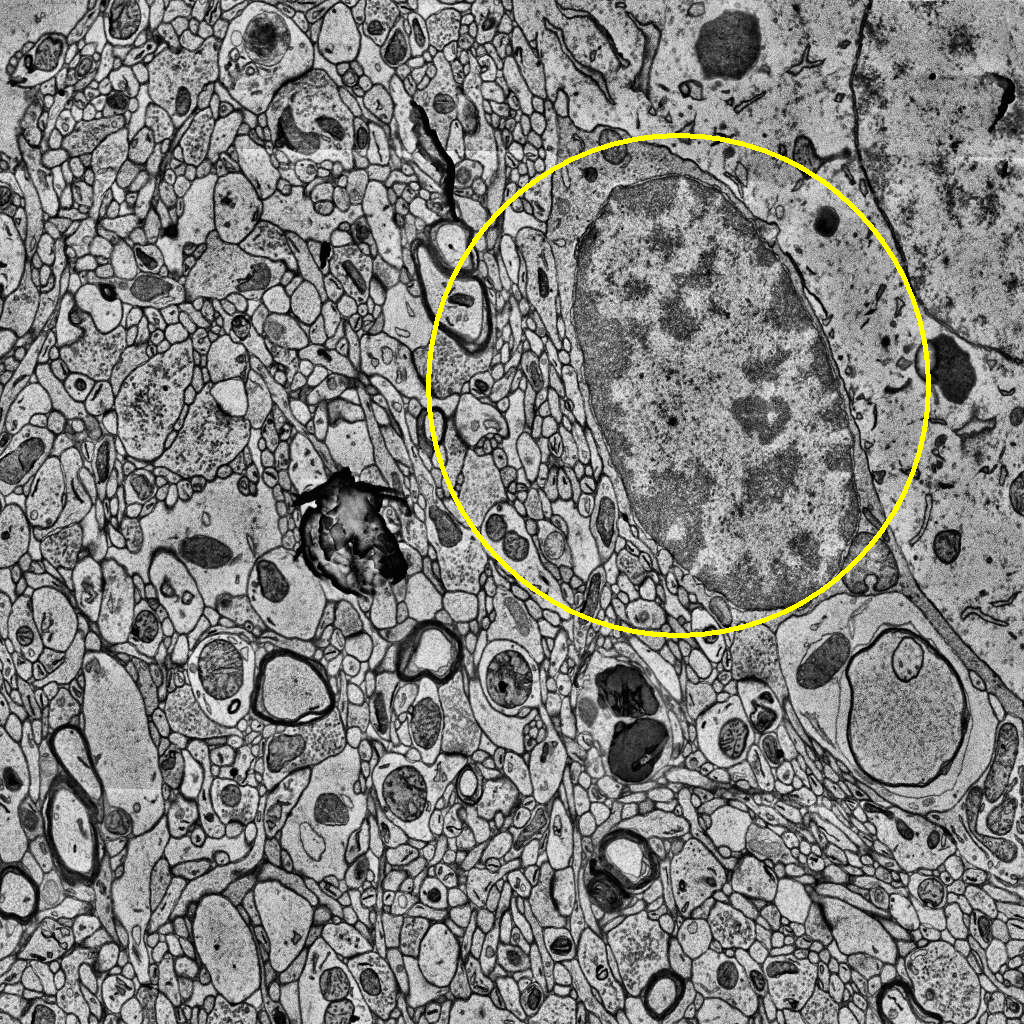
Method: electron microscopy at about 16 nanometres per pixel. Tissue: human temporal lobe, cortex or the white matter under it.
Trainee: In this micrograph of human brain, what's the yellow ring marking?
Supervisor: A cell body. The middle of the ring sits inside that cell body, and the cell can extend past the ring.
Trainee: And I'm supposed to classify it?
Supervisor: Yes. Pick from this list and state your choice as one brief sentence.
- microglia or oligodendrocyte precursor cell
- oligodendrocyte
The cell at the ring's center is an oligodendrocyte.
